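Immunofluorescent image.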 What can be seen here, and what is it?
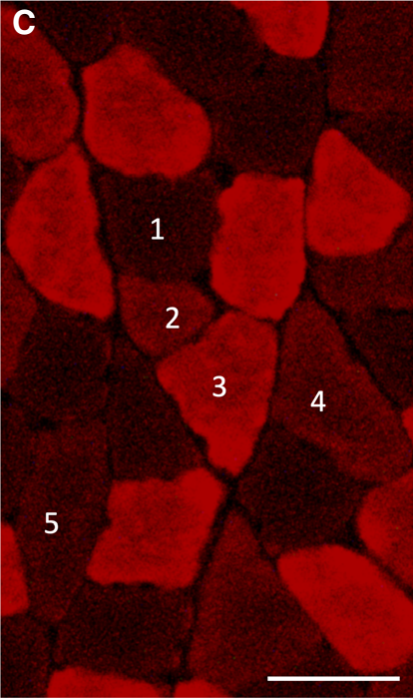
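Skeletal muscle fibers are seen in cross-section as large, closely packed polygonal profiles forming a mosaic. Some fibers are filled with bright red fluorescence while their neighbours are only dimly red, and the bright and dim fibers are intermixed. Thin dark lines mark the narrow boundaries between adjacent fibers.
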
